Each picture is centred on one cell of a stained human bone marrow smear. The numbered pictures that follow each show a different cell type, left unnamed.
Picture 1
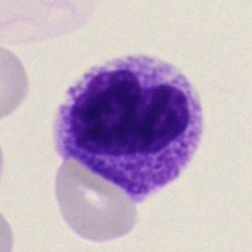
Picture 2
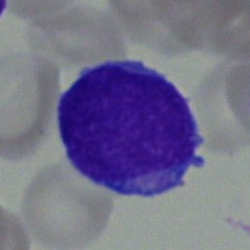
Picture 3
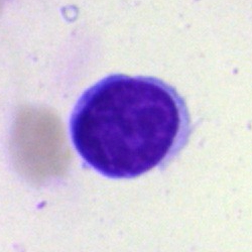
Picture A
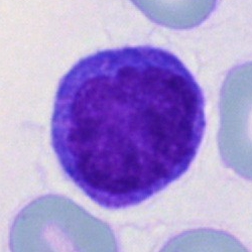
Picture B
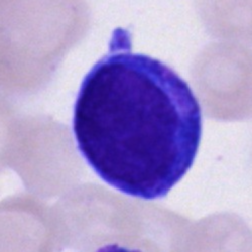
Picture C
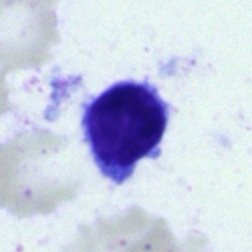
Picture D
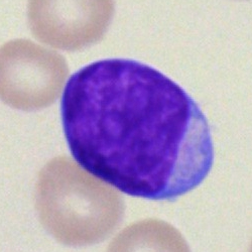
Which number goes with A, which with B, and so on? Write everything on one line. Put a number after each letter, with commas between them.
A 2, B 2, C 3, D 2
